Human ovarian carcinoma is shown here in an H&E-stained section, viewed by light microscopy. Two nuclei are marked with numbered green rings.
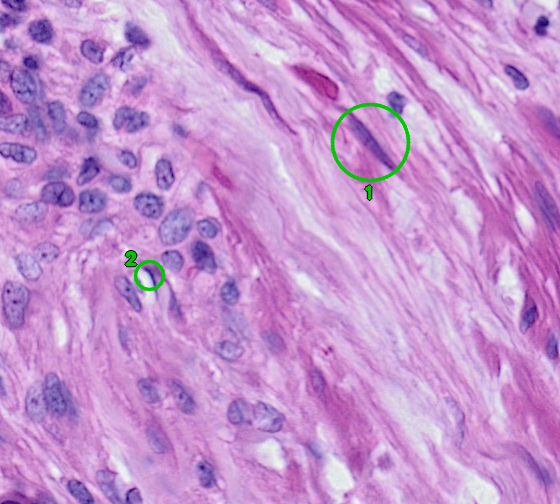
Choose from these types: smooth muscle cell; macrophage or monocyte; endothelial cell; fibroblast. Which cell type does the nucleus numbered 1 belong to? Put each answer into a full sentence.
Denoted by the label 1 in the section is a smooth muscle cell.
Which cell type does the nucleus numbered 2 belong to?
That cell with number 2 is a fibroblast.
